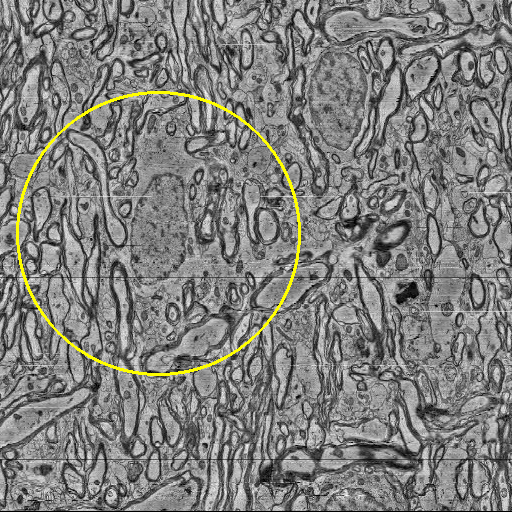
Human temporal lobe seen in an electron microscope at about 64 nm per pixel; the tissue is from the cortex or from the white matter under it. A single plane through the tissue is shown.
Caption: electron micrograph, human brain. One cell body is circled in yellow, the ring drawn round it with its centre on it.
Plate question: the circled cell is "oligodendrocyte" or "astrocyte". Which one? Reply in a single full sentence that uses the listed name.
The yellow ring on the plate is centred on an astrocyte, going by the listed names.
